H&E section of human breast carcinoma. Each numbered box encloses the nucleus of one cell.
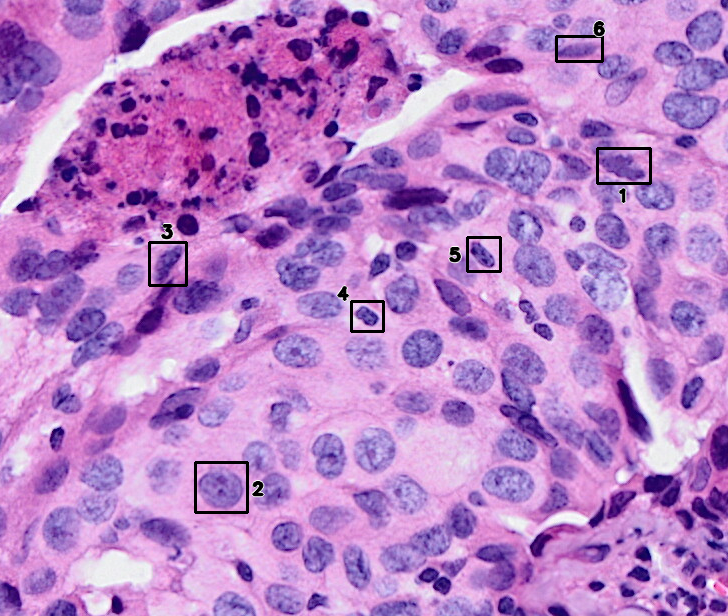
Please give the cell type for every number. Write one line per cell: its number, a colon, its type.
1: carcinoma cell
2: carcinoma cell
3: carcinoma cell
4: lymphocyte
5: lymphocyte
6: carcinoma cell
